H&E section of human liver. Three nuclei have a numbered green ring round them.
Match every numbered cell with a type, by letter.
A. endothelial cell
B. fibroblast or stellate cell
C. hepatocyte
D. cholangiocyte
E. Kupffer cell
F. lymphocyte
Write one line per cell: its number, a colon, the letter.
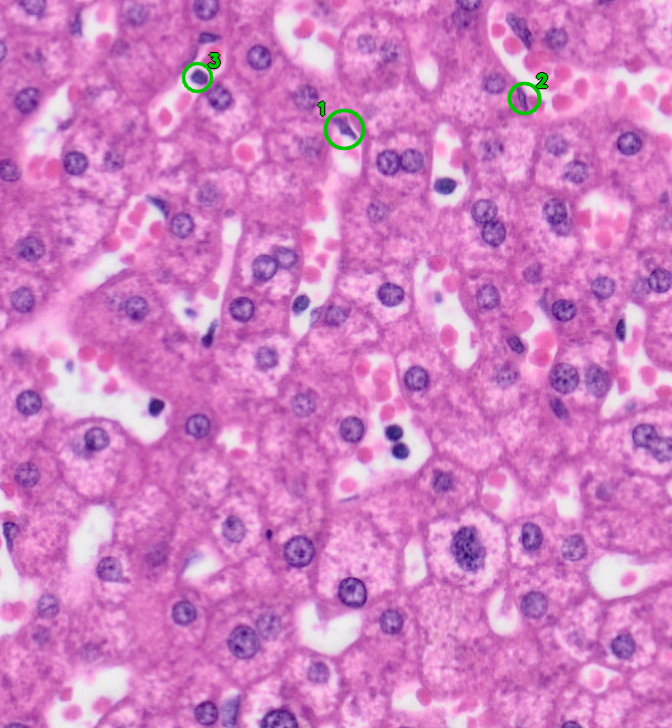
1: A
2: A
3: F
